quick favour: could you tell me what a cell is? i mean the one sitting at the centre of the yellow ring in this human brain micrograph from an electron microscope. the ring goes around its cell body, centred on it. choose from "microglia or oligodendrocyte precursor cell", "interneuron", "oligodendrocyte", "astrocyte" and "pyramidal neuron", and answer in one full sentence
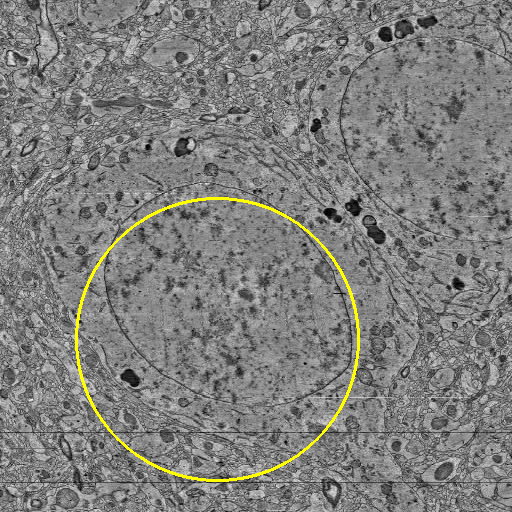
That's a pyramidal neuron, the cell sitting at the centre of the yellow ring.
